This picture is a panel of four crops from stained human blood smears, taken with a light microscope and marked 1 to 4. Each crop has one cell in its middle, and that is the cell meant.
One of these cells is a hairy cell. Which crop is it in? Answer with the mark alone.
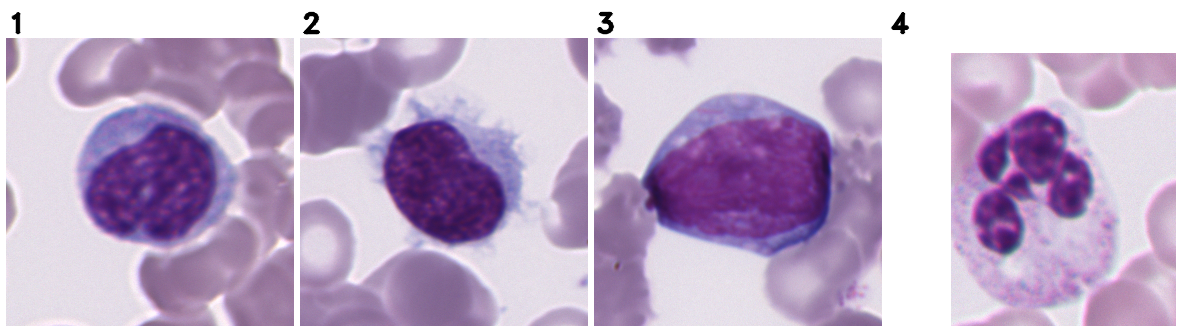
2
